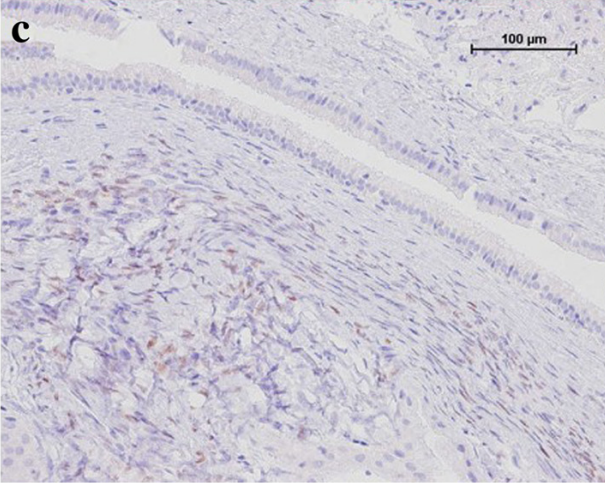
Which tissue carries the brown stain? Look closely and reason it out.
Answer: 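Faint brown nuclei are scattered among spindle cells in the lower left tissue. The epithelial lining cells are unstained blue.
Conclusion: stroma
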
